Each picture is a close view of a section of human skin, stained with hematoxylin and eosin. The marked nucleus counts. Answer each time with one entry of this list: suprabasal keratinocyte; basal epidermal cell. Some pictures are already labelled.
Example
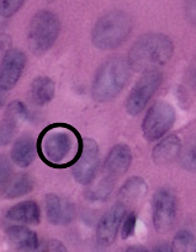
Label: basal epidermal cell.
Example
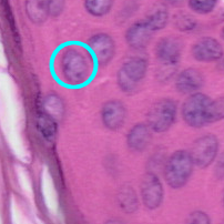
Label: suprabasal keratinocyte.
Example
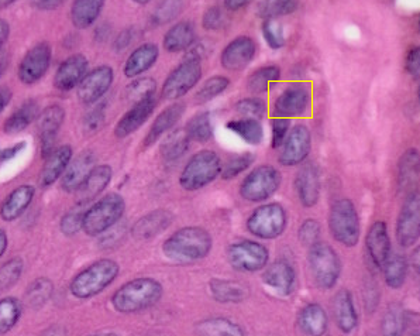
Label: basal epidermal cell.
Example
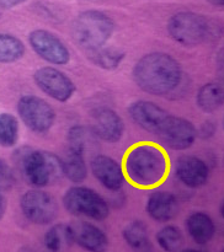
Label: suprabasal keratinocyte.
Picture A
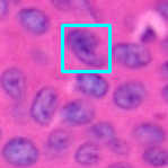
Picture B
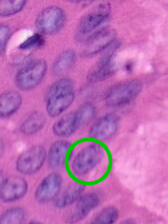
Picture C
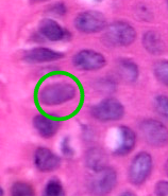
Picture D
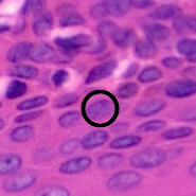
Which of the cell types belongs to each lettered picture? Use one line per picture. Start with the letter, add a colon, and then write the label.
A: suprabasal keratinocyte.
B: basal epidermal cell.
C: basal epidermal cell.
D: basal epidermal cell.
